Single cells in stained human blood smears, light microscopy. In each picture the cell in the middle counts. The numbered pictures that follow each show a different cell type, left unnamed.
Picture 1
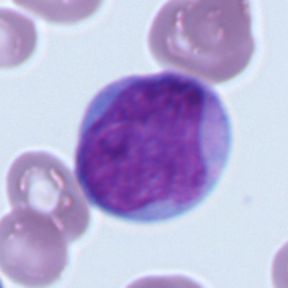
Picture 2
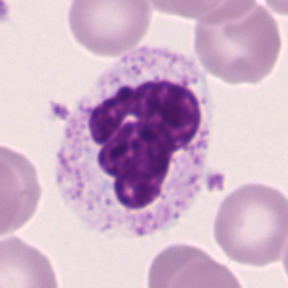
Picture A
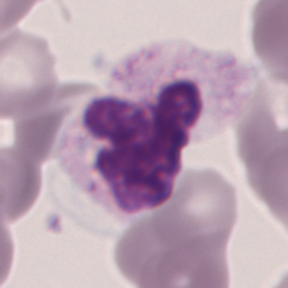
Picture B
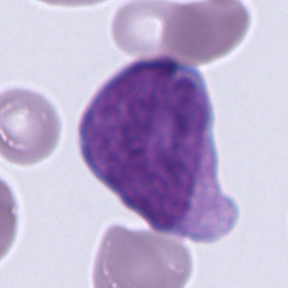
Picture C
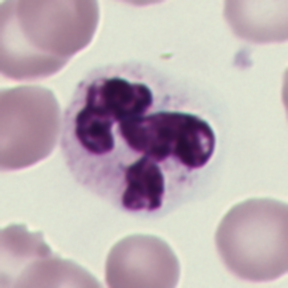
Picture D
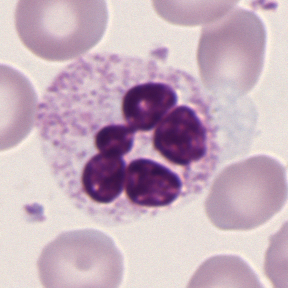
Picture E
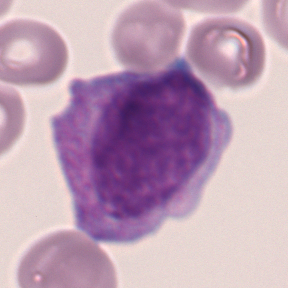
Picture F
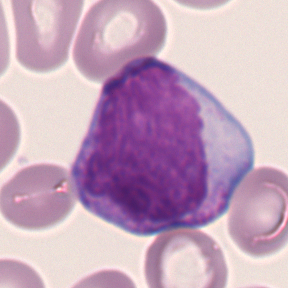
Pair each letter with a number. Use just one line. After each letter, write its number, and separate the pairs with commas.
A 2, B 1, C 2, D 2, E 1, F 1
